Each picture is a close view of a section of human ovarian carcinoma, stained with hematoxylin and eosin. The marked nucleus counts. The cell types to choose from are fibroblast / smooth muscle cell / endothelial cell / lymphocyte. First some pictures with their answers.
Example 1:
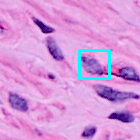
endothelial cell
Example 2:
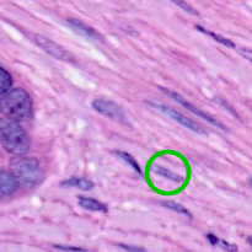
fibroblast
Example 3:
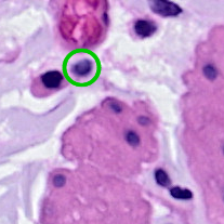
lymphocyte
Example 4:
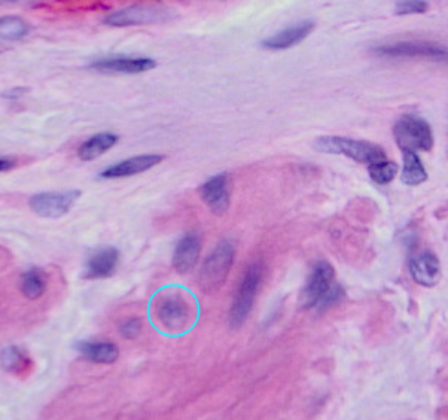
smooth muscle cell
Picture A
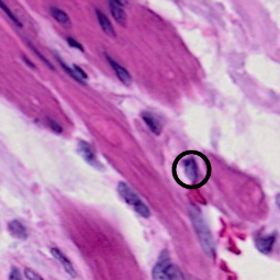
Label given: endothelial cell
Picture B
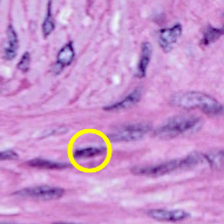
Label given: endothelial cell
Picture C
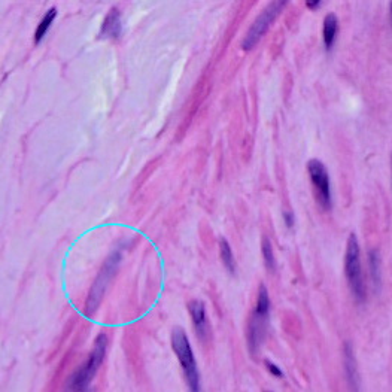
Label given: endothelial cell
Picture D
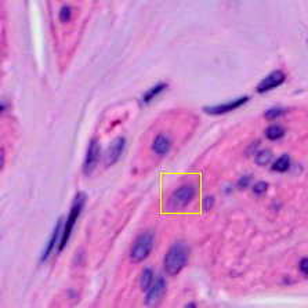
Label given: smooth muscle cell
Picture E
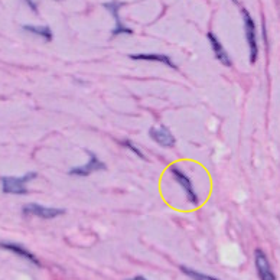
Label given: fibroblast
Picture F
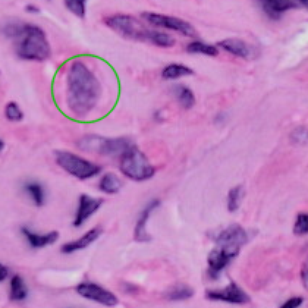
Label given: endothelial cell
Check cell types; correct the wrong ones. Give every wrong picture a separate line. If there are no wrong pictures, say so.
Wrong: B (endothelial cell); correct: fibroblast
Wrong: C (endothelial cell); correct: smooth muscle cell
